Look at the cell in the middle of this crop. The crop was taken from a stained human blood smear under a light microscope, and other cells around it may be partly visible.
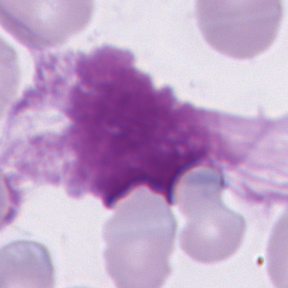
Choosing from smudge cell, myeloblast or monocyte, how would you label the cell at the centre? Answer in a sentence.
In the middle of this smear crop is a smudge cell.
